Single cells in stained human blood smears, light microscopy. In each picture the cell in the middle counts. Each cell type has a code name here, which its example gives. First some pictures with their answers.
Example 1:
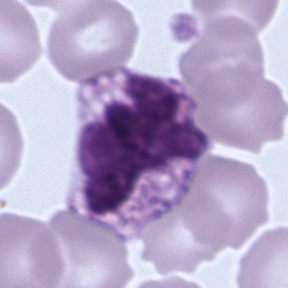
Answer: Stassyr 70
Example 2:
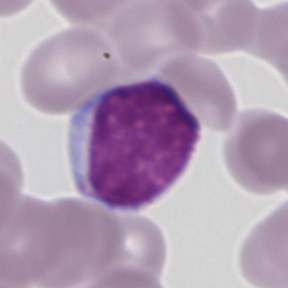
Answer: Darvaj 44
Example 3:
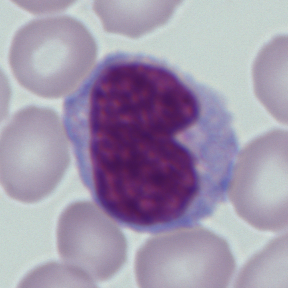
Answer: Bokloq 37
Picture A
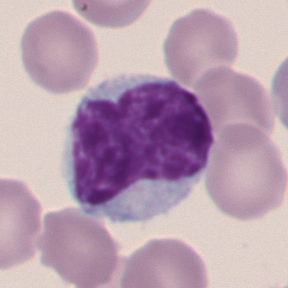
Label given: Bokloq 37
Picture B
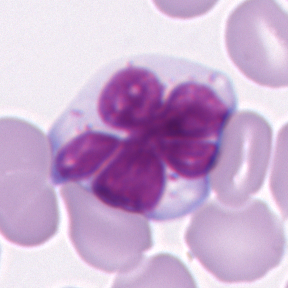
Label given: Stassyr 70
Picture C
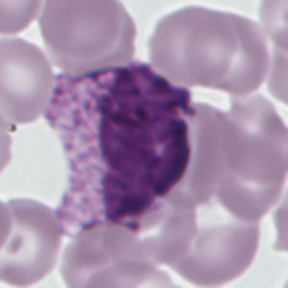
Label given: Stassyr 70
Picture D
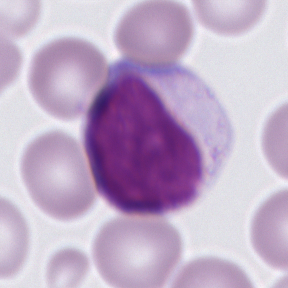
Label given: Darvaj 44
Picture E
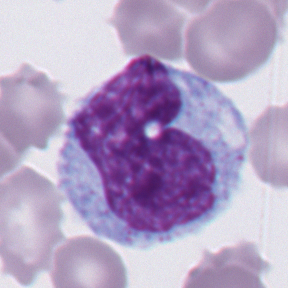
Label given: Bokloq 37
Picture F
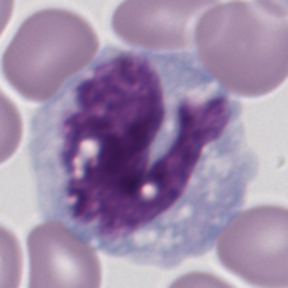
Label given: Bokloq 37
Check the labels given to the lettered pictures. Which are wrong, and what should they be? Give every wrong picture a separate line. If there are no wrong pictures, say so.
B should be Darvaj 44, not Stassyr 70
